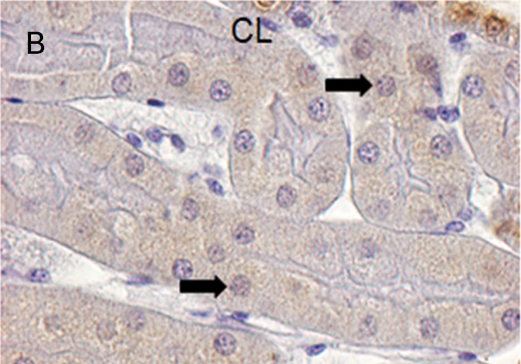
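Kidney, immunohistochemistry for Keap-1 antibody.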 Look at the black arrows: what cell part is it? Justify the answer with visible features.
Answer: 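Nuclei. The arrows end on round nuclei of tubule cells. The indicated nuclei are round with visible nucleoli, inside the cells lining the tubules.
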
